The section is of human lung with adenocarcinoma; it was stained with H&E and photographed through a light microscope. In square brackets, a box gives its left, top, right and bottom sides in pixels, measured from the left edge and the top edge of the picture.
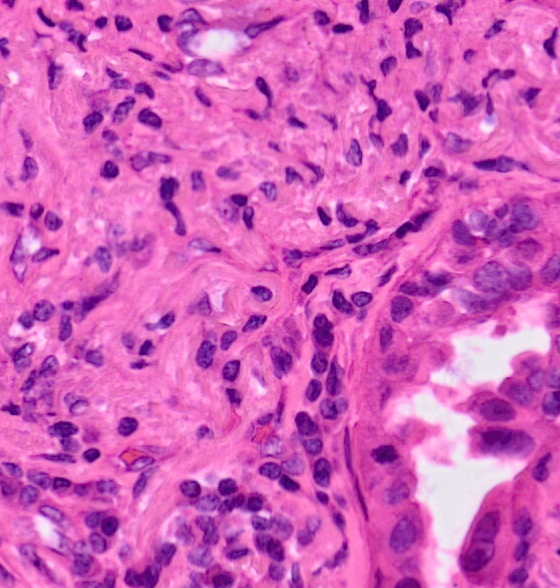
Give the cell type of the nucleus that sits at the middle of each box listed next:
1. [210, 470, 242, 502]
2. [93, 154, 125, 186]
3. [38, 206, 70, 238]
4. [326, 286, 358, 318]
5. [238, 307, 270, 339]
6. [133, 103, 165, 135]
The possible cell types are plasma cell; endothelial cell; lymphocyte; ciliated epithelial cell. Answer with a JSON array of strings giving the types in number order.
["lymphocyte", "lymphocyte", "lymphocyte", "plasma cell", "lymphocyte", "plasma cell"]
